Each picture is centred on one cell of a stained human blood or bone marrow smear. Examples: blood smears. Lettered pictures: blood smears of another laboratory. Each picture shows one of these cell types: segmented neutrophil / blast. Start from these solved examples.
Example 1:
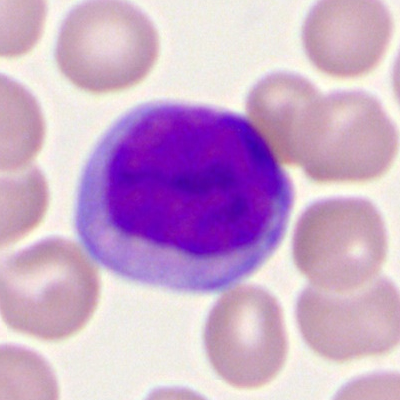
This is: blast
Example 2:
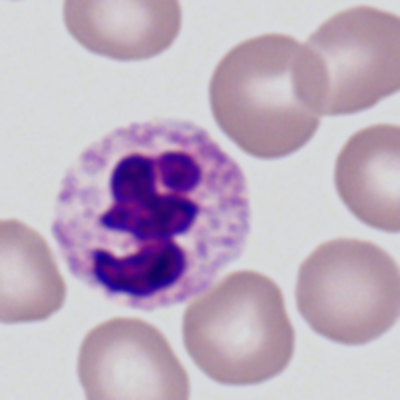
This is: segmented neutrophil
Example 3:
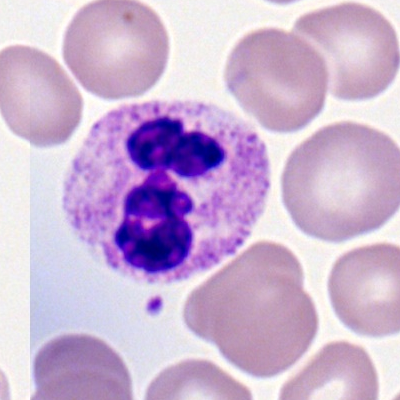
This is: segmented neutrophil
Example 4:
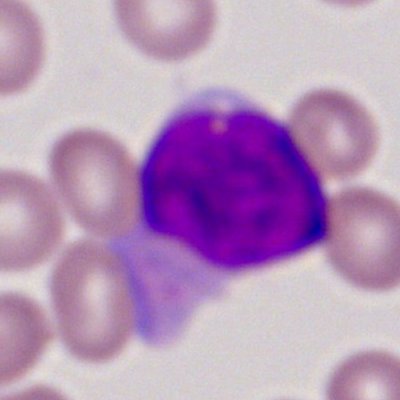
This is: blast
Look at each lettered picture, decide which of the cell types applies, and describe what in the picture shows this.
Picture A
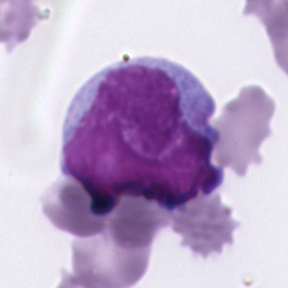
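Label: blast. The nucleus fills most of the cell and reaches the cell edge along the bottom.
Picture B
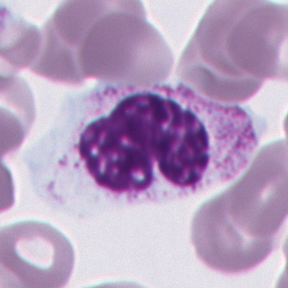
Label: segmented neutrophil. The cytoplasm is abundant and very pale greyish-blue.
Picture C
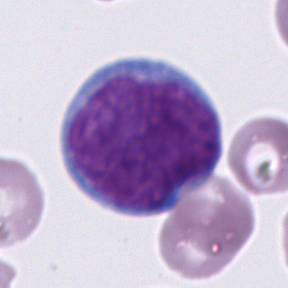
Label: blast. The cytoplasm is blue.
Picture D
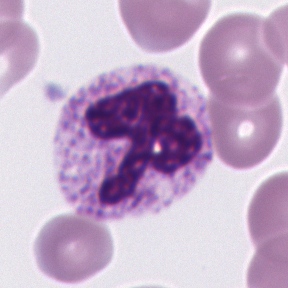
Label: segmented neutrophil. The cytoplasm is plentiful and pale pink.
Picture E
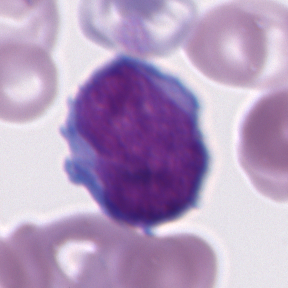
Label: blast. The cytoplasm forms a thin rim that is widest on the left.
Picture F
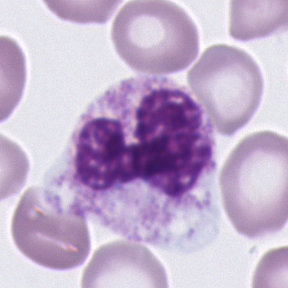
Label: segmented neutrophil. The cytoplasm is plentiful and very pale.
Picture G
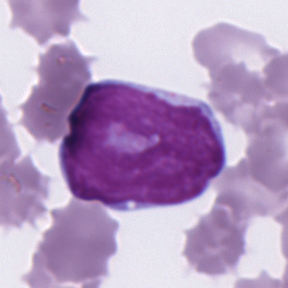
Label: blast. The nucleus fills almost the whole cell.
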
